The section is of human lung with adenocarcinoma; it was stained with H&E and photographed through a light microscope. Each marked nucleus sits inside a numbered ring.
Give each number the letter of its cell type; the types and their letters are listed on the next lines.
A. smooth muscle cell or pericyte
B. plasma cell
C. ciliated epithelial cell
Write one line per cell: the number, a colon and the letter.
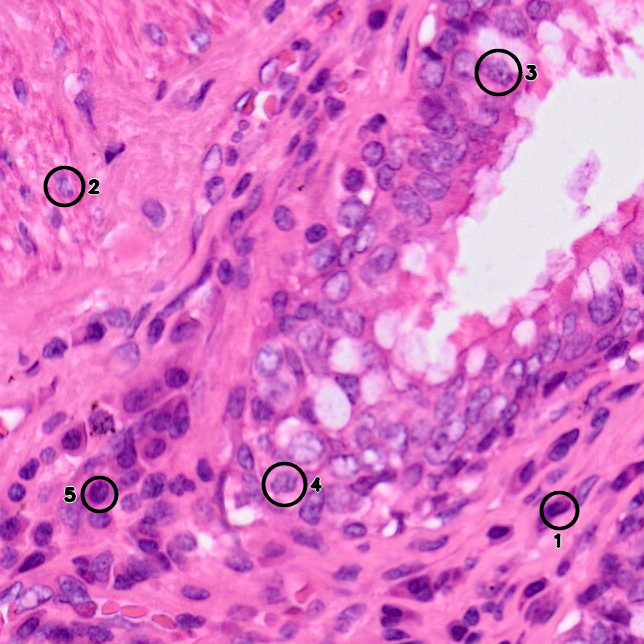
1: B
2: A
3: C
4: C
5: B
